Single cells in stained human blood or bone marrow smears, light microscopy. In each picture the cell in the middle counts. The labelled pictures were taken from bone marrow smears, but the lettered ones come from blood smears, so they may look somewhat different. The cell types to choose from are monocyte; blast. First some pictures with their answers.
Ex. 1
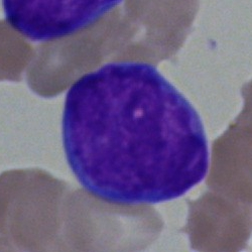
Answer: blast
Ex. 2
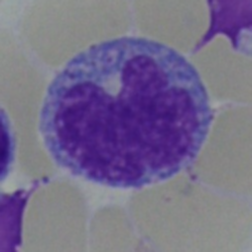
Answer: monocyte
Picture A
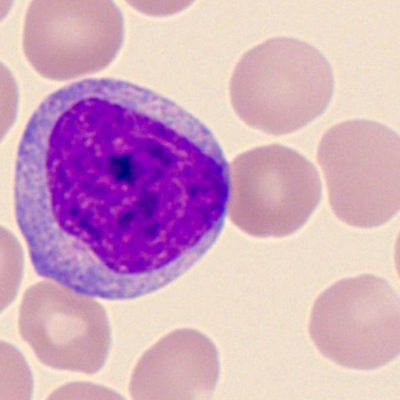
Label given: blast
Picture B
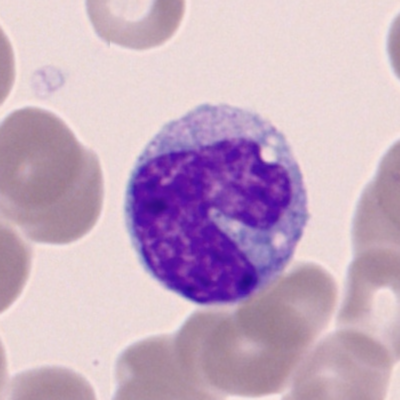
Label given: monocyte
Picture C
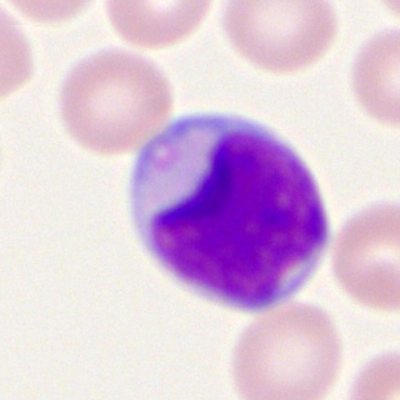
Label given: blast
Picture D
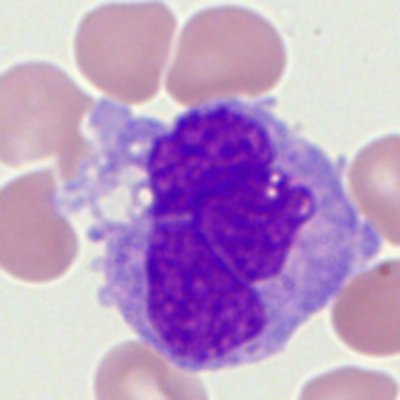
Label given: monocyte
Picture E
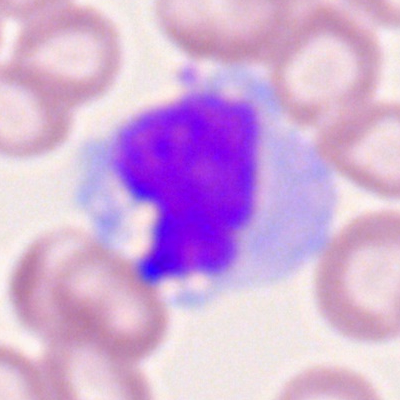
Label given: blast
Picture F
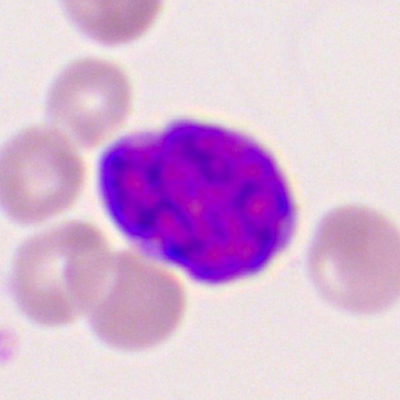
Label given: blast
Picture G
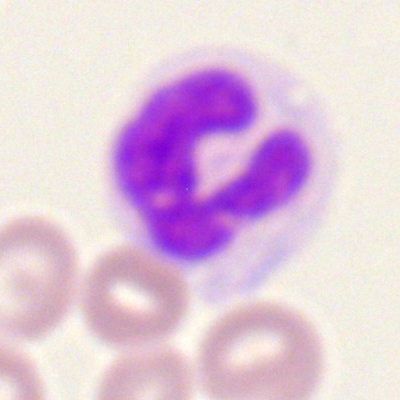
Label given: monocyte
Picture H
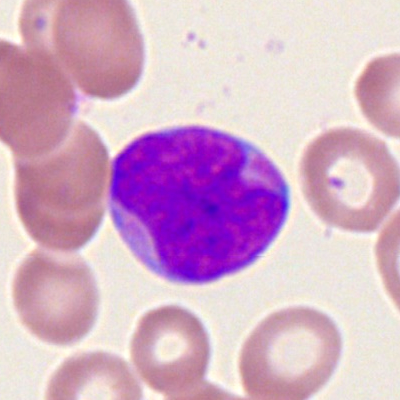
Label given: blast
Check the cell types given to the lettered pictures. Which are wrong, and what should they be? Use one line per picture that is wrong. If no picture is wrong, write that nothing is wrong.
Wrong: E (blast); correct: monocyte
